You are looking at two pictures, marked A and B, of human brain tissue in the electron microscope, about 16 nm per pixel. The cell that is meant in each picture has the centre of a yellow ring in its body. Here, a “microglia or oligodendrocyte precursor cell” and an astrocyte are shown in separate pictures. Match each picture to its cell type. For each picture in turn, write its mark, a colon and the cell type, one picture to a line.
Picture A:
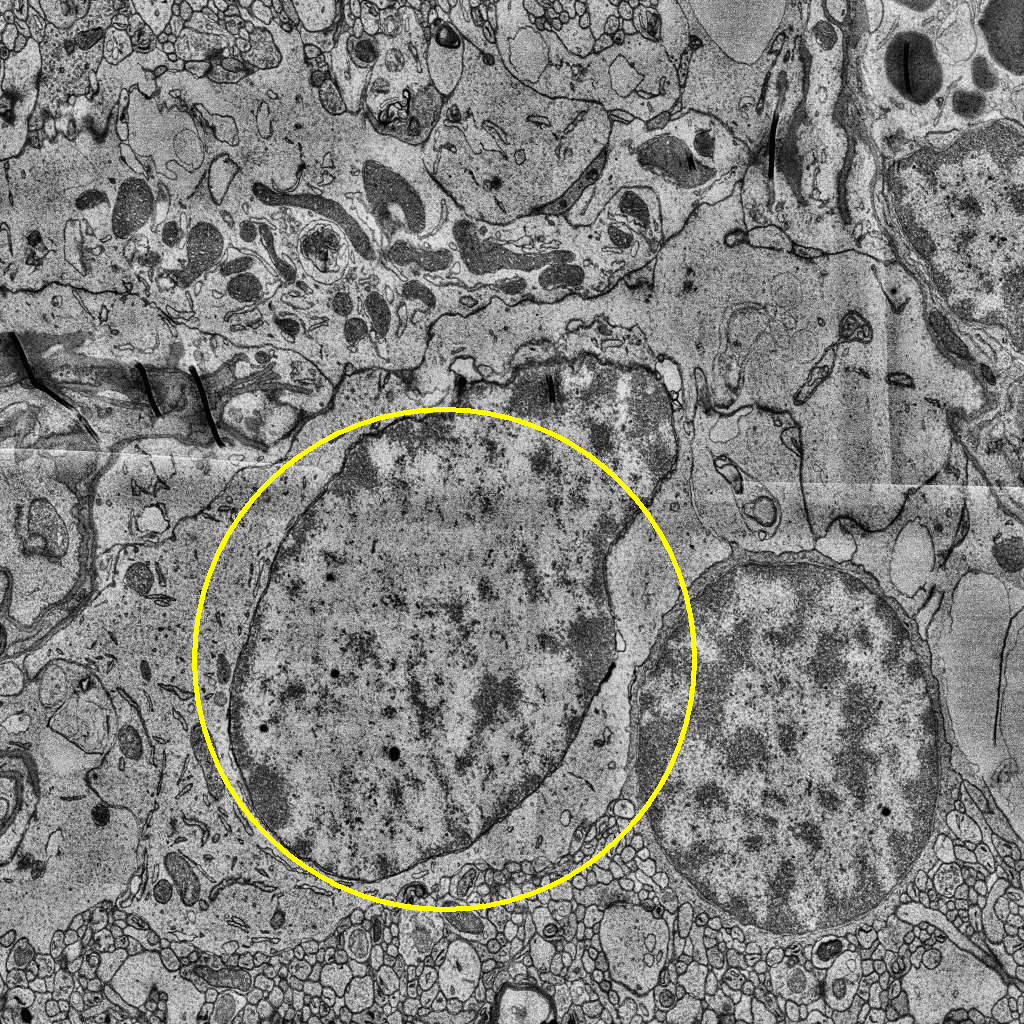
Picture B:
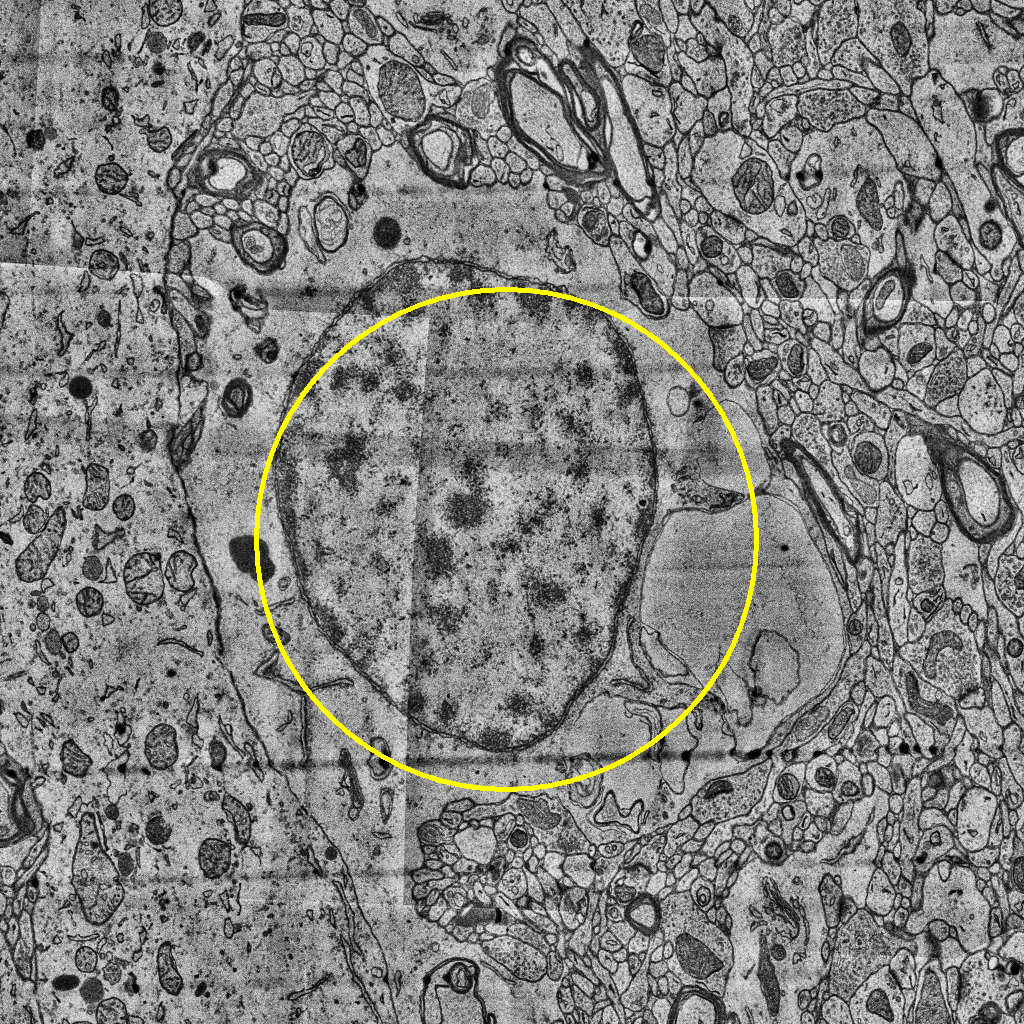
A: microglia or oligodendrocyte precursor cell
B: astrocyte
